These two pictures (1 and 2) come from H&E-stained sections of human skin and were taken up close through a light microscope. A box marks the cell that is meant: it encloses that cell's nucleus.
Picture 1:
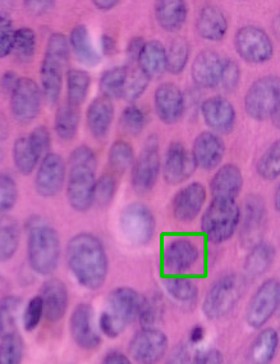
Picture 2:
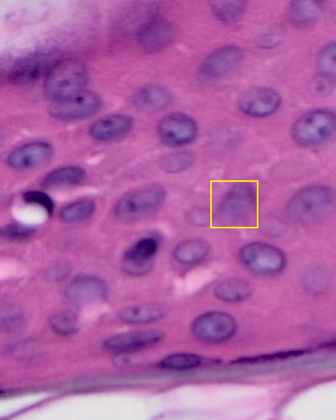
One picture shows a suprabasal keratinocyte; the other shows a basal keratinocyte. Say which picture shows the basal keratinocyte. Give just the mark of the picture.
1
